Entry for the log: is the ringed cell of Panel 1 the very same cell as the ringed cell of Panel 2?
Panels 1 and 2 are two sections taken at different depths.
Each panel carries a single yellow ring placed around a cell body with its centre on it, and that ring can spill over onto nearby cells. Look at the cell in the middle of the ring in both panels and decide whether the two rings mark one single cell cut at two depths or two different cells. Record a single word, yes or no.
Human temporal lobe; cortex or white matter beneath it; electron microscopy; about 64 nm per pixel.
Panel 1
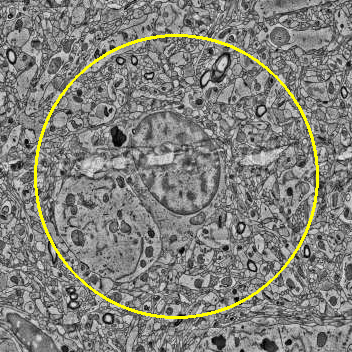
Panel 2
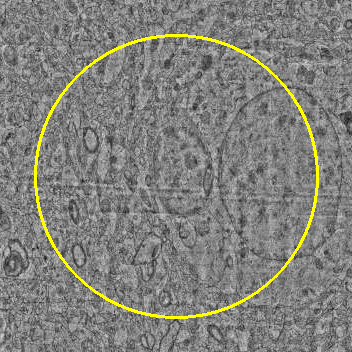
no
